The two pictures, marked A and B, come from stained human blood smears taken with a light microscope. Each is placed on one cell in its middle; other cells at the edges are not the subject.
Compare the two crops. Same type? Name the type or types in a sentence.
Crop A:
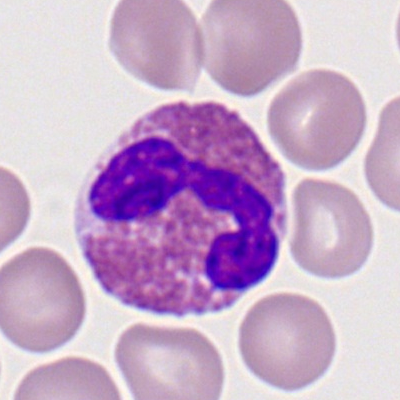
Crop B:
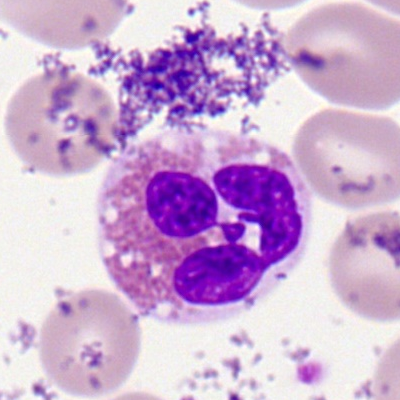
Yes, both crops show eosinophils at their middles.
